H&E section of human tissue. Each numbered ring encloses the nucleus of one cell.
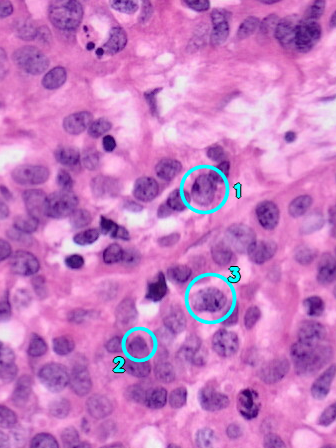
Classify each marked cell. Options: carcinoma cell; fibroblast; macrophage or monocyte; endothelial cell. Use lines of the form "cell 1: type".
cell 1: carcinoma cell
cell 2: carcinoma cell
cell 3: macrophage or monocyte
